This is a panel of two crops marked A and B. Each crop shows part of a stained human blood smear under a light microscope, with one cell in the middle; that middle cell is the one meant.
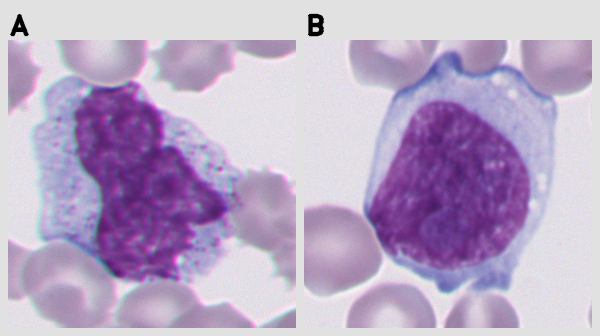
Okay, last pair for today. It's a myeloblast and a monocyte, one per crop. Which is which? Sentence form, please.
Crops A and B are, respectively, a monocyte and a myeloblast.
